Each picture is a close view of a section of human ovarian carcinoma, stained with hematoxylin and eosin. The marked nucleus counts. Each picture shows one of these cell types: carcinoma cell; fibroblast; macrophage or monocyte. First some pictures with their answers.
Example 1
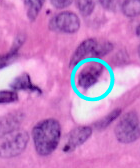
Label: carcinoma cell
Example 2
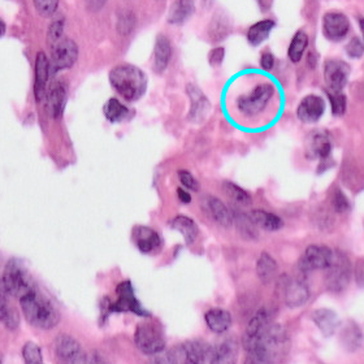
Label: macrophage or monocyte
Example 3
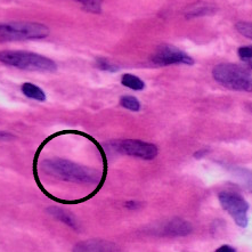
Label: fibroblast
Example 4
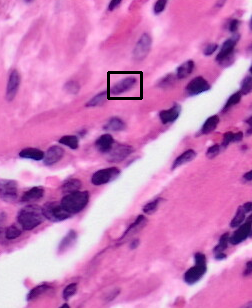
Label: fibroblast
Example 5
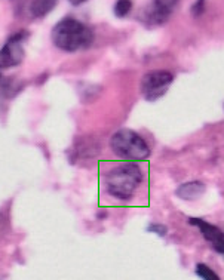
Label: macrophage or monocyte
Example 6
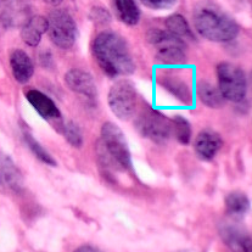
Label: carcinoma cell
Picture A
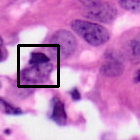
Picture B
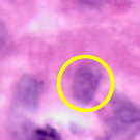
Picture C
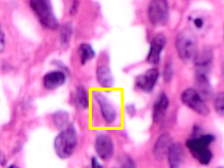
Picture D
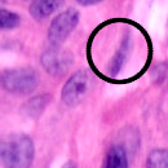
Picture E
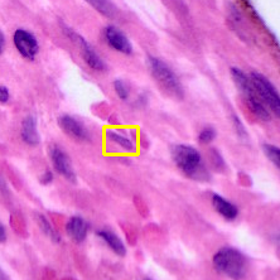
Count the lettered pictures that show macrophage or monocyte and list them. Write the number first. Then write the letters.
1, namely C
